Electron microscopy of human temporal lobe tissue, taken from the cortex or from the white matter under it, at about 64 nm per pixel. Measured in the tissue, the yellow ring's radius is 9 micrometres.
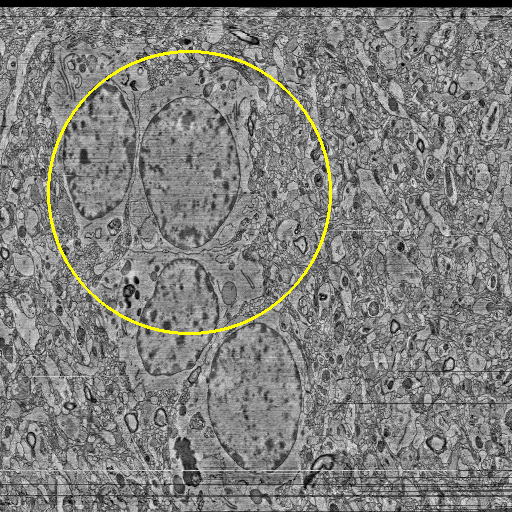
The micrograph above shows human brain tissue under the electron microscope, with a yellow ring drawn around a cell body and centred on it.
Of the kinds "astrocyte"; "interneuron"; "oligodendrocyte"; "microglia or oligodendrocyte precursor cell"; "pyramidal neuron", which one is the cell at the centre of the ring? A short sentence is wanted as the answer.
The one at the centre of the ring is an astrocyte.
